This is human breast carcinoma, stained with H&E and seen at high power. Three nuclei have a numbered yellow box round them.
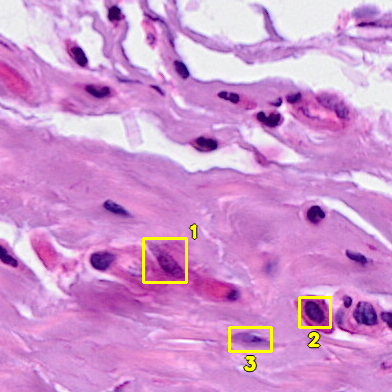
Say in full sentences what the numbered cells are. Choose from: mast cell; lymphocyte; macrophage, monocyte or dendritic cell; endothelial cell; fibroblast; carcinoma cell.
Cells 1 and 3 are fibroblasts. Cell 2 is a mast cell.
